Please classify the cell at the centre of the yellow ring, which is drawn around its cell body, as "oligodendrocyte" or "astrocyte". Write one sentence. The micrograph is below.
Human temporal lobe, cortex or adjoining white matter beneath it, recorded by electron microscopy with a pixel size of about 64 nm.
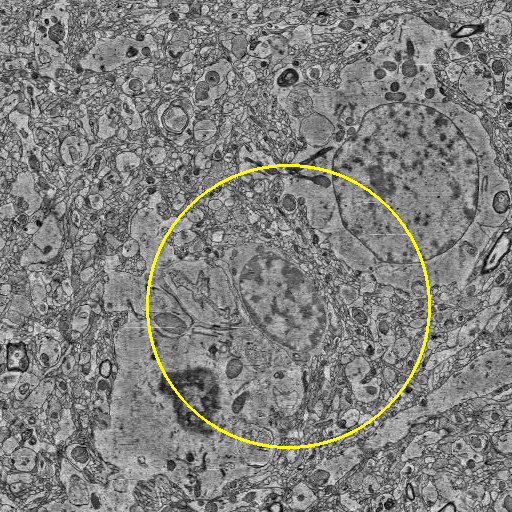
The cell at the ring's centre is classified as an oligodendrocyte.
